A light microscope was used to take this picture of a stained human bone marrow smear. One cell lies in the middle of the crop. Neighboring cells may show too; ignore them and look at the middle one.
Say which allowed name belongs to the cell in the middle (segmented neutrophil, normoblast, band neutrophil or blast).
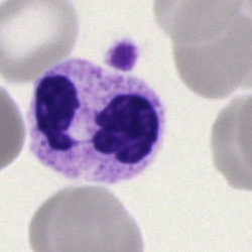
segmented neutrophil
